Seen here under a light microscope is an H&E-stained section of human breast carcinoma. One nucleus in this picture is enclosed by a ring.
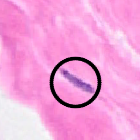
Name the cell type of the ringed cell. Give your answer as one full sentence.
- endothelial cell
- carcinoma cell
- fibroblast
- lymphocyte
In this tissue section, the ringed cell is to be classed as a fibroblast.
